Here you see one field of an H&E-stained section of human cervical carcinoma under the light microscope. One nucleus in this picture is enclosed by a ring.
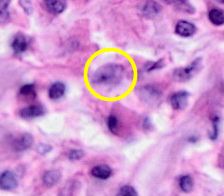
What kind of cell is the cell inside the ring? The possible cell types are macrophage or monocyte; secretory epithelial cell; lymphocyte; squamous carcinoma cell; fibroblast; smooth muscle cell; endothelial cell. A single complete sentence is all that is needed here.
To be brief about it, the cell inside the ring is a macrophage or monocyte.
